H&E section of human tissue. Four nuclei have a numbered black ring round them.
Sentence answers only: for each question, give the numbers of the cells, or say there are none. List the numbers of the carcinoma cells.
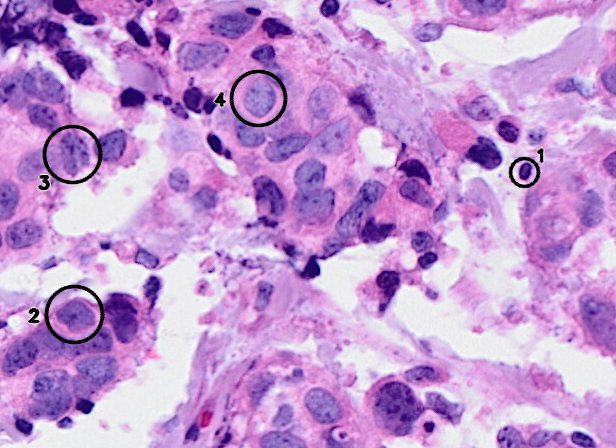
Identification: the cells with numbers 2, 3 and 4 are carcinoma cells.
